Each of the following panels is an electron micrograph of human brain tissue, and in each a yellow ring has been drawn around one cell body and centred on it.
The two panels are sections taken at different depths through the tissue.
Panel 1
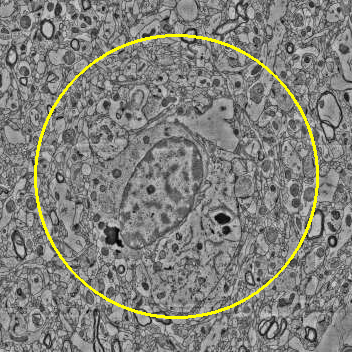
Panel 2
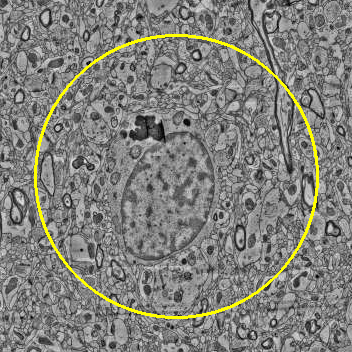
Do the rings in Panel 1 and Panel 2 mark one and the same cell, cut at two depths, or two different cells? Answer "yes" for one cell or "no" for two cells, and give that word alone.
yes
